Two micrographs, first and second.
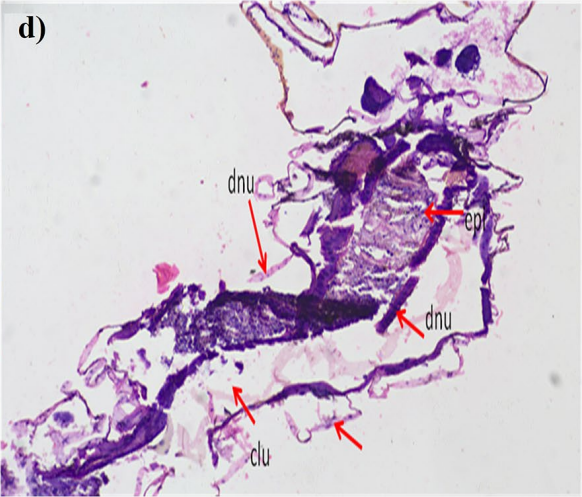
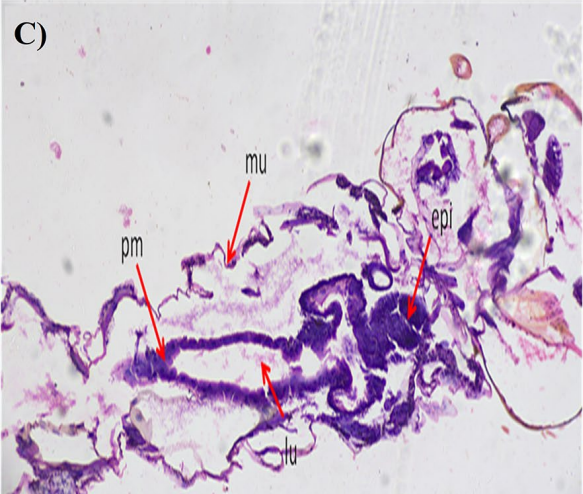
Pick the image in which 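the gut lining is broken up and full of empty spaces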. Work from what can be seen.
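Second image: a continuous, folded, dark purple lining runs around an open gut lumen. First image: the dark purple lining is fragmented, with loose pale tissue and many clear spaces around it.
Conclusion: the first image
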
